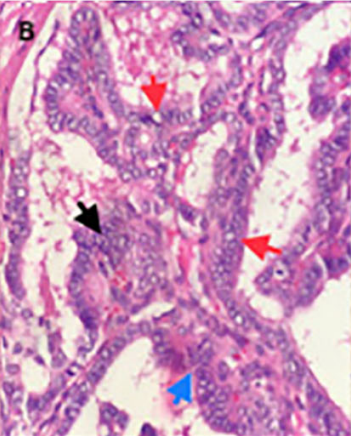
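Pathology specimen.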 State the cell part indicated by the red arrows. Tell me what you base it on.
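Intranuclear inclusions. Pale rounded spots within enlarged nuclei.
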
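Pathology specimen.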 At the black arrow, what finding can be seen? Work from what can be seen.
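Nuclear overlapping. Nuclei crowded and lying on top of one another. No clear spacing between neighbouring nuclei.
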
